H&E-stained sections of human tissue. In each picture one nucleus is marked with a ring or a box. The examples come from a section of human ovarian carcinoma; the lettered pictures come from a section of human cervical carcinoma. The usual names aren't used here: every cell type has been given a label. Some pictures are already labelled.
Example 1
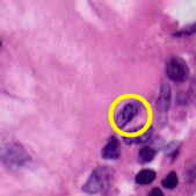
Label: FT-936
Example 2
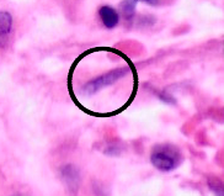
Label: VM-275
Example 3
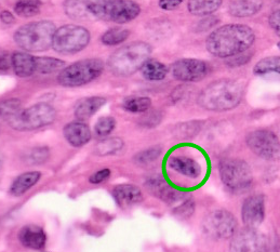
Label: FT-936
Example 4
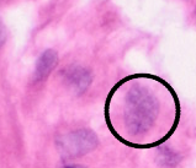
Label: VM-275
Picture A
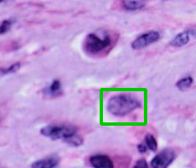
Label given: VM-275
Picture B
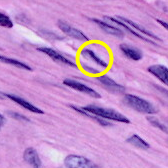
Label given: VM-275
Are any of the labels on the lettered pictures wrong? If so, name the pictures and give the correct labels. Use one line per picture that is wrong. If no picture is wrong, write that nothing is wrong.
A: change VM-275 to FT-936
